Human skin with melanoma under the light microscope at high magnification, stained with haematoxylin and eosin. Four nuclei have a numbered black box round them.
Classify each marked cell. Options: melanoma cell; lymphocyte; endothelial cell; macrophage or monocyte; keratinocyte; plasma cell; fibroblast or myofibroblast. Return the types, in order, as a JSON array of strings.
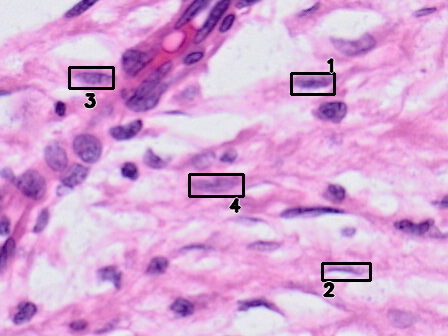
["fibroblast or myofibroblast", "fibroblast or myofibroblast", "macrophage or monocyte", "fibroblast or myofibroblast"]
